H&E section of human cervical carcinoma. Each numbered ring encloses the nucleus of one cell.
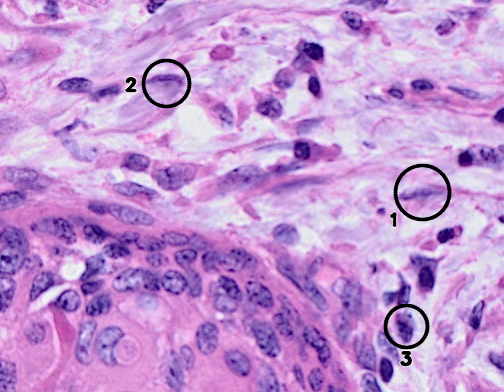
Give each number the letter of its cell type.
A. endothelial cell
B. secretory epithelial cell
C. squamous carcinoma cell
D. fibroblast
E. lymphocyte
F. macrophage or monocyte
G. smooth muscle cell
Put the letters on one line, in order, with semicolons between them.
D; D; E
